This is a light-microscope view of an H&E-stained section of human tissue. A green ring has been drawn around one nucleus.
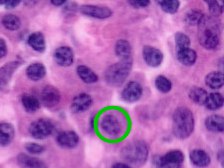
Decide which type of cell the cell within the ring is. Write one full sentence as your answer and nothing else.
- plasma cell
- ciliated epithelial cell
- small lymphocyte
In this section of tissue, the cell within the ring is a plasma cell.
